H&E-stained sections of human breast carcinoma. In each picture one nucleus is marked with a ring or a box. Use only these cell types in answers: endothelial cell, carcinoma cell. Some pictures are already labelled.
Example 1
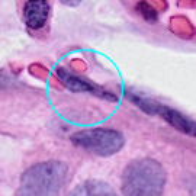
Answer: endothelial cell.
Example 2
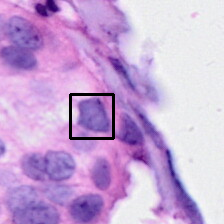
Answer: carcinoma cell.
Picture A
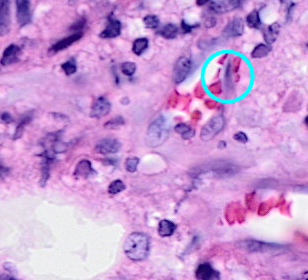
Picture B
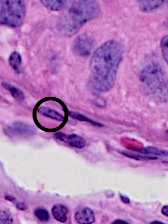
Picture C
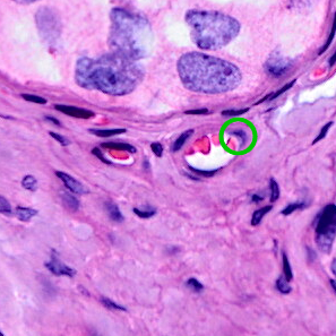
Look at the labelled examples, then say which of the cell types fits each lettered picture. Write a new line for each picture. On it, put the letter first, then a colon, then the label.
A: endothelial cell.
B: endothelial cell.
C: endothelial cell.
